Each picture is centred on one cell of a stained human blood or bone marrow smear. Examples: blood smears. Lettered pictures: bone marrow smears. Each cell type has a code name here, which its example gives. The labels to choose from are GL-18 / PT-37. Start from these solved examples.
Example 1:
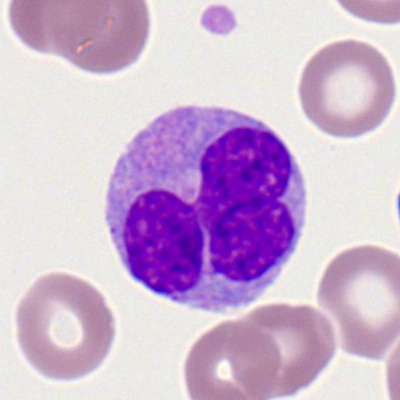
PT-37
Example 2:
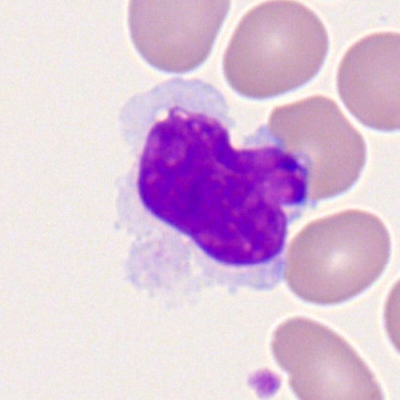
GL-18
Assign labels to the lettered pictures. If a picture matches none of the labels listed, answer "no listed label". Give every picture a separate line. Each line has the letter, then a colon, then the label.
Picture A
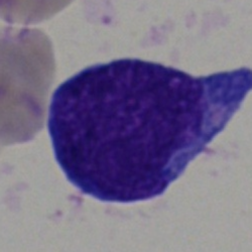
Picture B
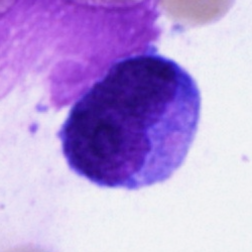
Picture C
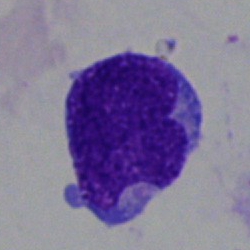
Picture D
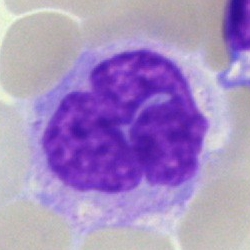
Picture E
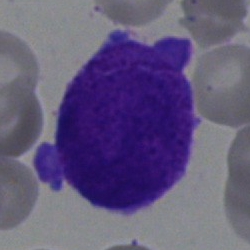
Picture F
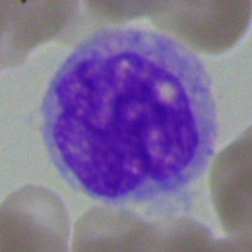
A: no listed label
B: no listed label
C: no listed label
D: PT-37
E: no listed label
F: PT-37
